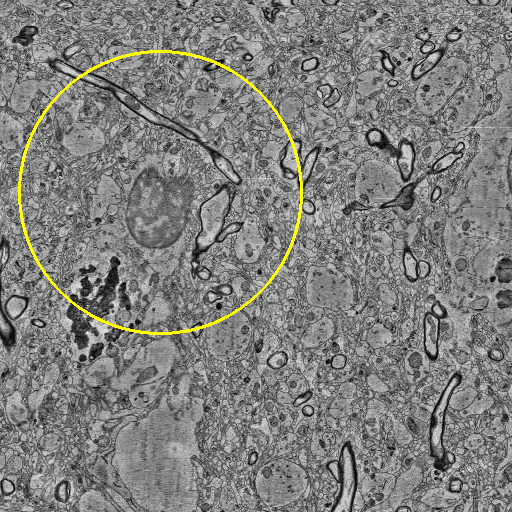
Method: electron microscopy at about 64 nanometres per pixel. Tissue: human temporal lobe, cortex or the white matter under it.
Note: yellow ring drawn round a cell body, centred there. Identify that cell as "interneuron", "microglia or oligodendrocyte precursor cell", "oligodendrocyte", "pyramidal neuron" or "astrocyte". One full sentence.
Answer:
The cell in the middle of the ring is an oligodendrocyte.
